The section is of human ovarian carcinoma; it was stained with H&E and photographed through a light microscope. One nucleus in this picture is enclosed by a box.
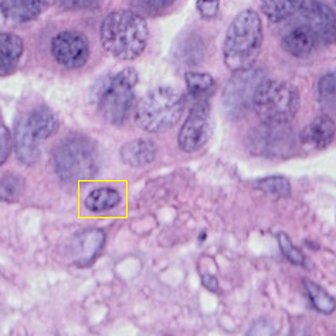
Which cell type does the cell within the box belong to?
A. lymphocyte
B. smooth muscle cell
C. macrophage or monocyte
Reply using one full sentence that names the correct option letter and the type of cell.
The right option is C, the cell within the box being a macrophage or monocyte.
